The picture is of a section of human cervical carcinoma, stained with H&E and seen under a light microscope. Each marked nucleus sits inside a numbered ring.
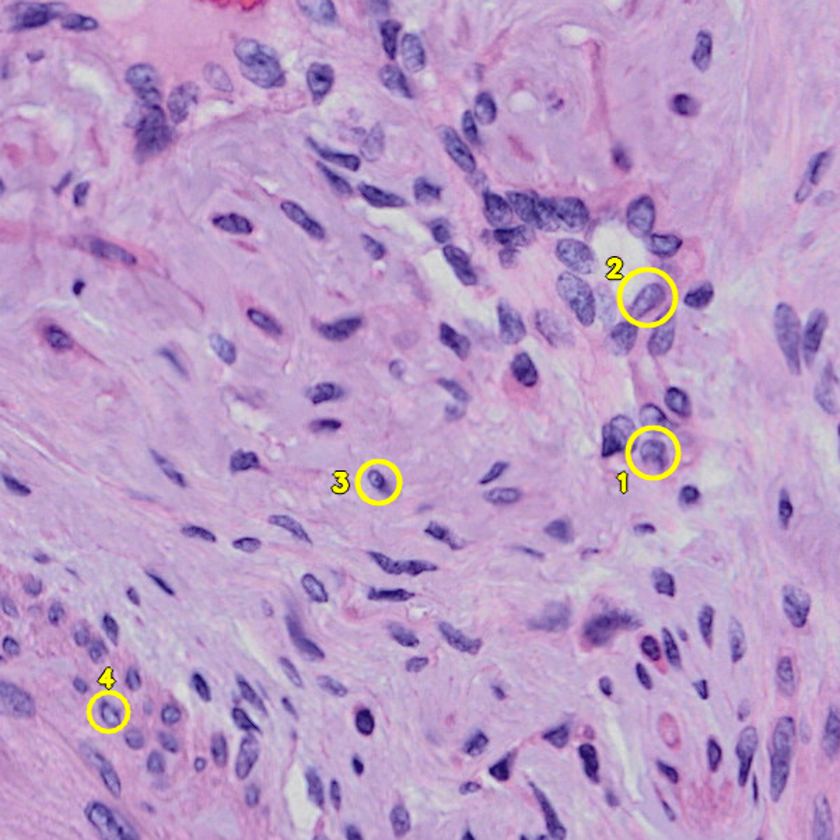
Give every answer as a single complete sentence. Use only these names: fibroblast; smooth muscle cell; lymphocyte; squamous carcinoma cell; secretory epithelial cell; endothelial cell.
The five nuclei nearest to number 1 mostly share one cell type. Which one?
Most of the five nuclei nearest to number 1 are those of endothelial cells.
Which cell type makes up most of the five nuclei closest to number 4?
The majority of the five nuclei closest to number 4 belong to smooth muscle cells.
